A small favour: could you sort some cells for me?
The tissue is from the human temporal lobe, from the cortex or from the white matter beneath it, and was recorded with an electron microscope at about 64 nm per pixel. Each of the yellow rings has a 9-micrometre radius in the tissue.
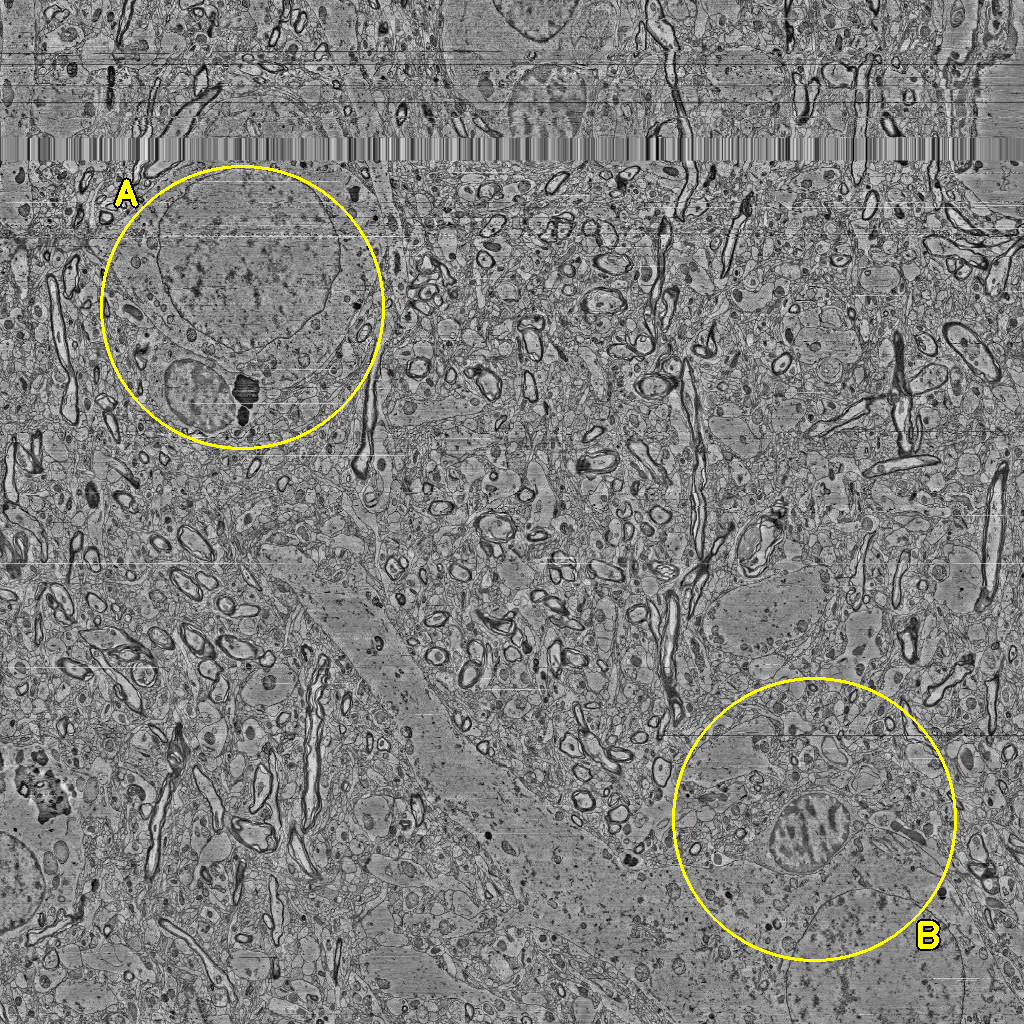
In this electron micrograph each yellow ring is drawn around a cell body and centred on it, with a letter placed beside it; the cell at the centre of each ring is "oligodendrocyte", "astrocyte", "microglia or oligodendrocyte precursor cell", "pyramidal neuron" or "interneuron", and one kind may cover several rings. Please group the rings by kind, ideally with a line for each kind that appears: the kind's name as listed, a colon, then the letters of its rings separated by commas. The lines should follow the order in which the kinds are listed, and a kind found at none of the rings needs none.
oligodendrocyte: B
pyramidal neuron: A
